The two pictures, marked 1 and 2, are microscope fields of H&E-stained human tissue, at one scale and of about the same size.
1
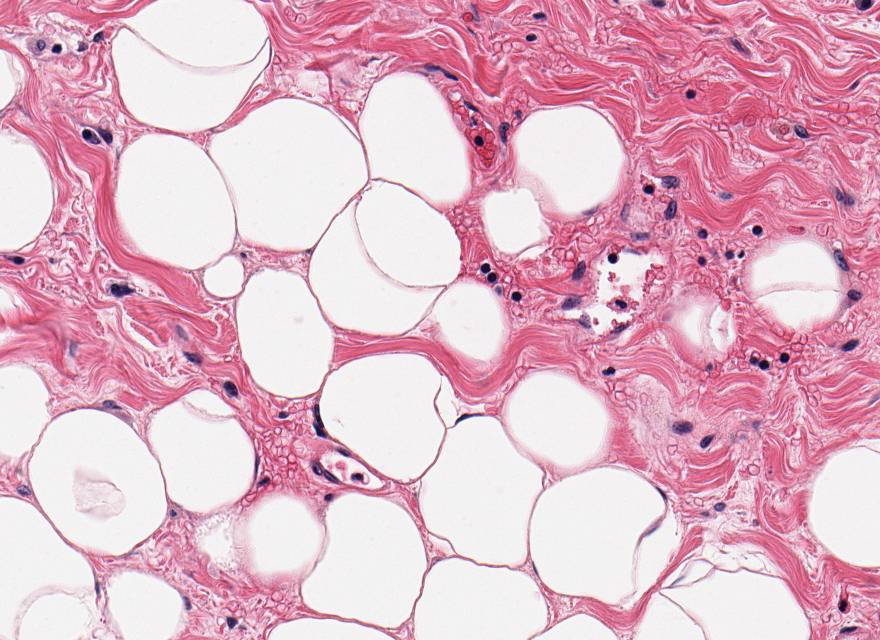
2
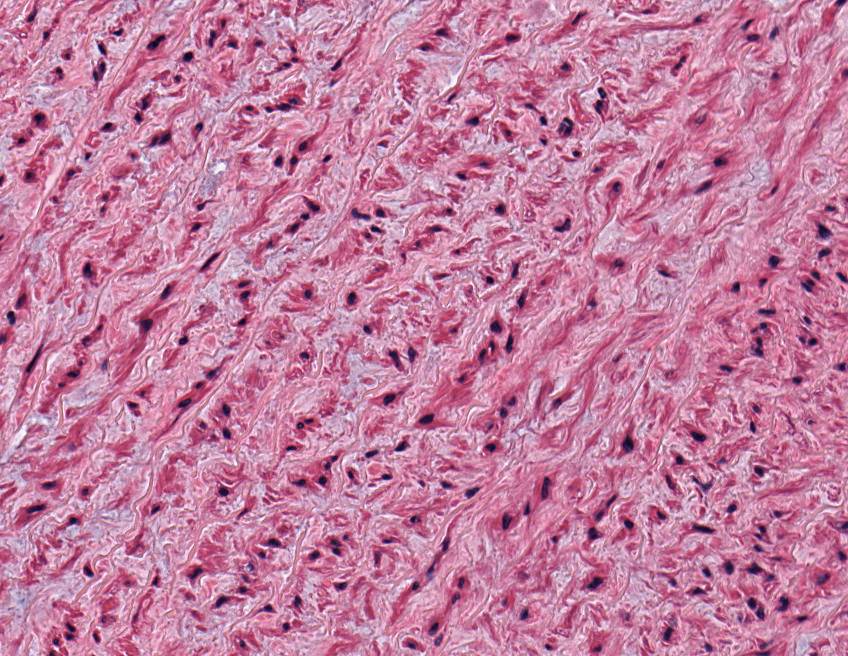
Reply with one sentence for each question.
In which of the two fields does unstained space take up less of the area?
Unstained space takes up less of field 2 than of field 1.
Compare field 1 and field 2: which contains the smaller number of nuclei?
There are fewer nuclei in field 1.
